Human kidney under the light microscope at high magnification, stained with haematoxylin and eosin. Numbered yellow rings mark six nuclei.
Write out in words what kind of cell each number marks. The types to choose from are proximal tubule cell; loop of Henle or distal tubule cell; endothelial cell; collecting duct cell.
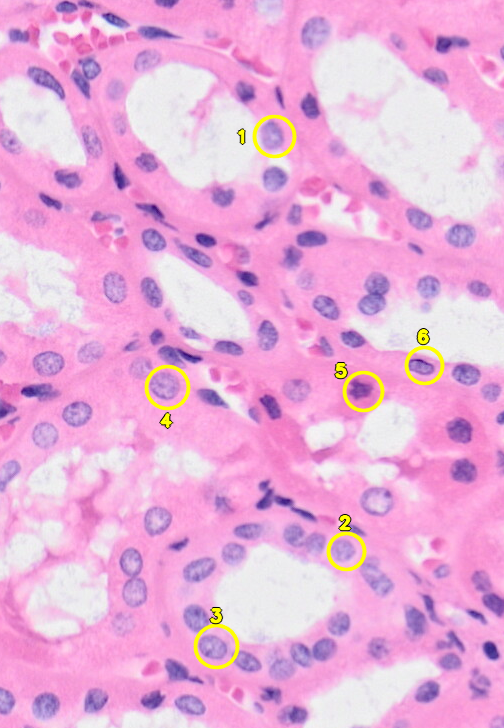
Cells 1 and 6 are loop of Henle or distal tubule cells. Cells 2 and 3 are collecting duct cells. Cells 4 and 5 are proximal tubule cells.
